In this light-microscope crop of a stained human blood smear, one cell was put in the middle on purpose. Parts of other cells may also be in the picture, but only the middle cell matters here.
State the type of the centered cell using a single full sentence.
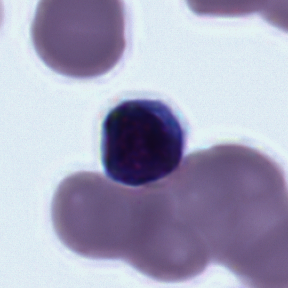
At the center of the crop sits a plasma cell.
